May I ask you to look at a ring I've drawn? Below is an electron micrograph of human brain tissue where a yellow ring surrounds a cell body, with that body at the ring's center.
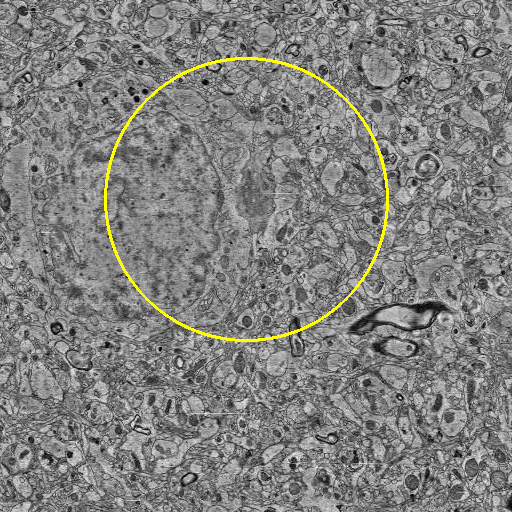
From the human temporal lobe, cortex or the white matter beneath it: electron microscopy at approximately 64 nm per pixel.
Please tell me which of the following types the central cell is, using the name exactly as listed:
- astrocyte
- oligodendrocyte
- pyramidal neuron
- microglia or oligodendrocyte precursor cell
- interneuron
oligodendrocyte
